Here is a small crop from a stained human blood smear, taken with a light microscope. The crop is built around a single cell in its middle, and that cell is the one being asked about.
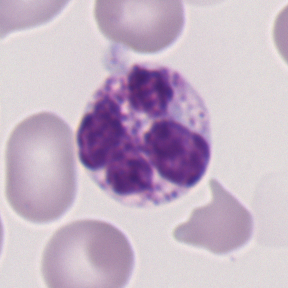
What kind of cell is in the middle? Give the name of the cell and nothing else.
basophil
